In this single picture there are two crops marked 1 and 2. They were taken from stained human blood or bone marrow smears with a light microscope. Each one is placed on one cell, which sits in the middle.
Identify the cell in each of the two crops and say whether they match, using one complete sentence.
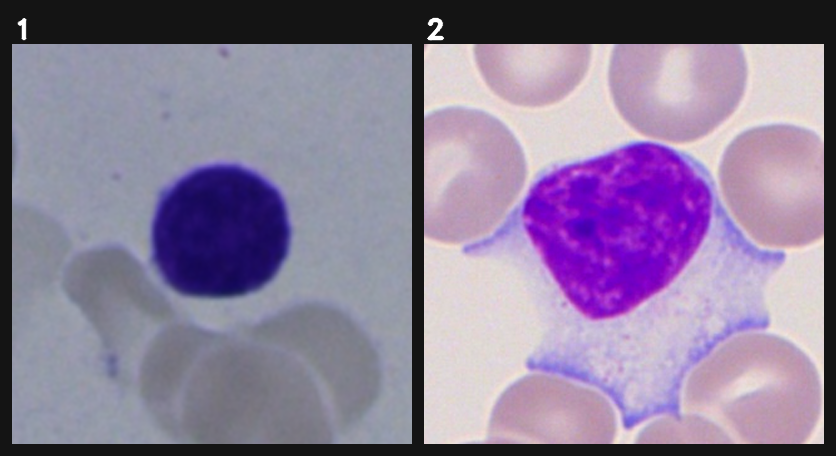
Yes, both crops show lymphocytes, and the two match.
